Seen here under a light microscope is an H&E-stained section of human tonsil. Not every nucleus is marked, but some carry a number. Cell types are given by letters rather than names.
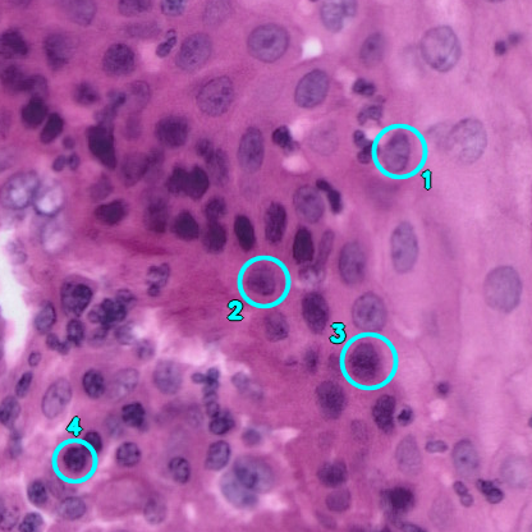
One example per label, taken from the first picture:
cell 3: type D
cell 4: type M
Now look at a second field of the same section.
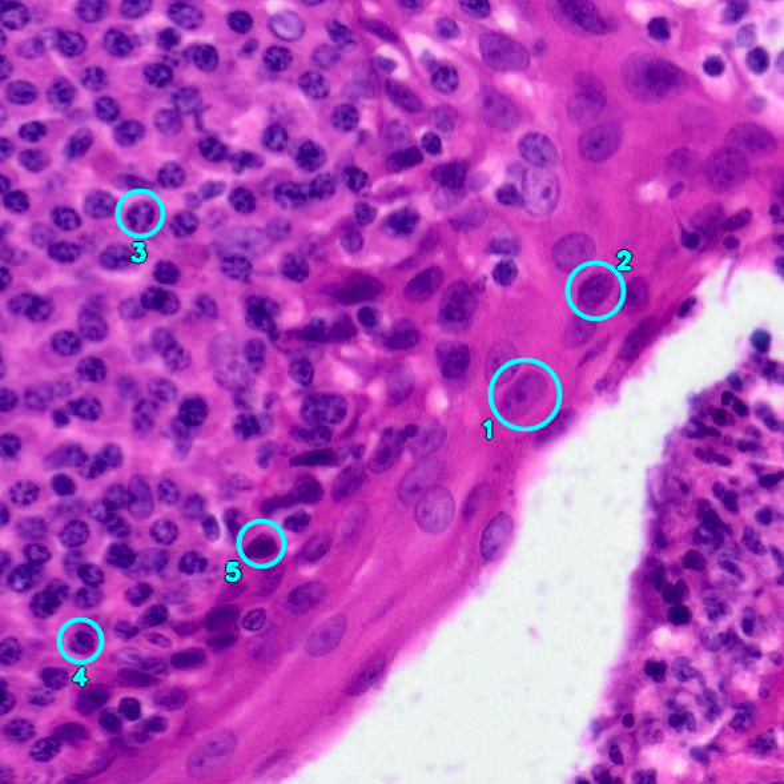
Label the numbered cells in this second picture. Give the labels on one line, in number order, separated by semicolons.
type D; type D; type M; type M; type D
